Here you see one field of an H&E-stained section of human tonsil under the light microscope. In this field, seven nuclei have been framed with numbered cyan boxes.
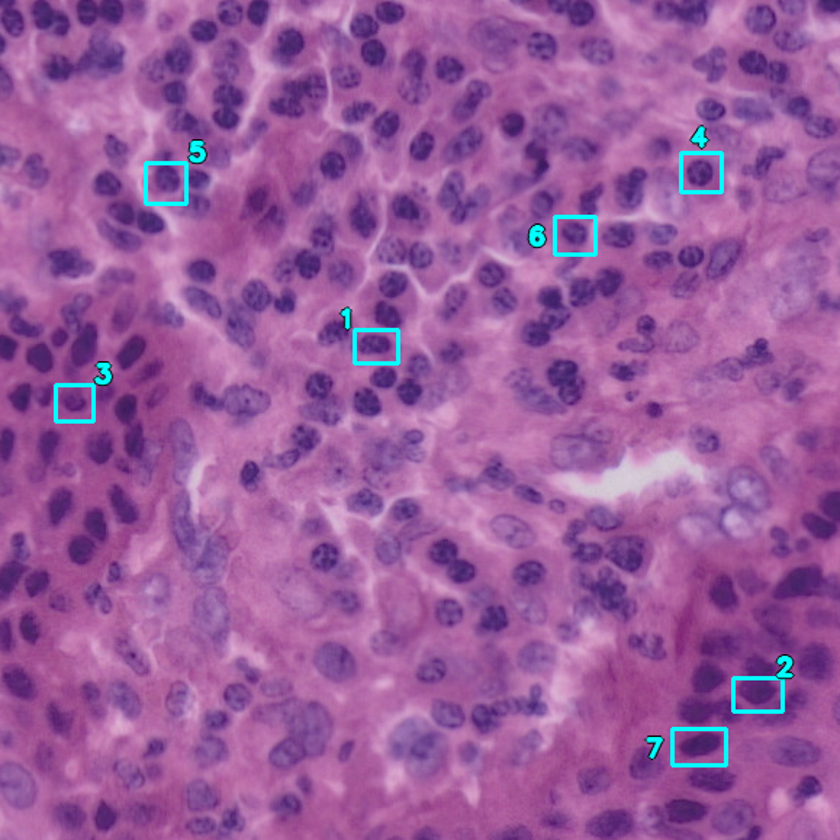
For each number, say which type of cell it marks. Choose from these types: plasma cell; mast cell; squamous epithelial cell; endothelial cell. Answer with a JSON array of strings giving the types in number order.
["plasma cell", "squamous epithelial cell", "squamous epithelial cell", "plasma cell", "plasma cell", "plasma cell", "squamous epithelial cell"]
